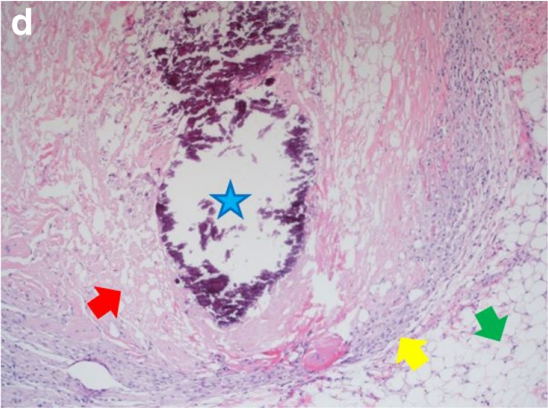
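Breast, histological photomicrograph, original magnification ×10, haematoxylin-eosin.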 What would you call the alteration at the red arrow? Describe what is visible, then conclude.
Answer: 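Vacuolisation and saponification of the remnants of the necrotic fat. Pale pink, loose tissue with scattered irregular small clear vacuoles. Few nuclei in this area compared with the band to the lower right.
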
